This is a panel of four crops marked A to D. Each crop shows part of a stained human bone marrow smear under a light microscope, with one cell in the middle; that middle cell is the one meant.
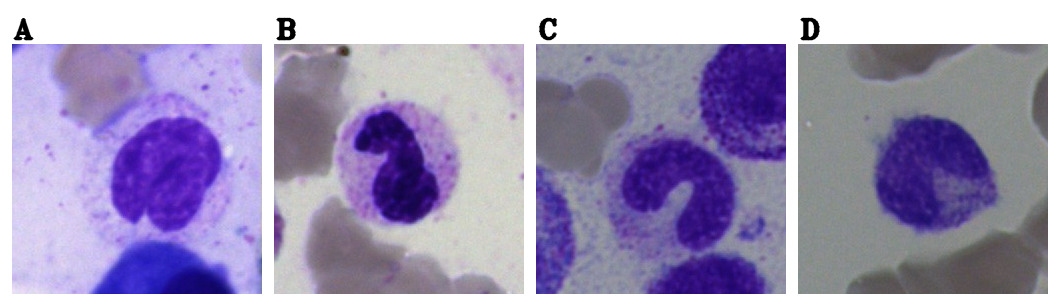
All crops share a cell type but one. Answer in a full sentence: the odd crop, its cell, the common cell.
Crop B is the only crop with a segmented neutrophil, the others all showing band neutrophils.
